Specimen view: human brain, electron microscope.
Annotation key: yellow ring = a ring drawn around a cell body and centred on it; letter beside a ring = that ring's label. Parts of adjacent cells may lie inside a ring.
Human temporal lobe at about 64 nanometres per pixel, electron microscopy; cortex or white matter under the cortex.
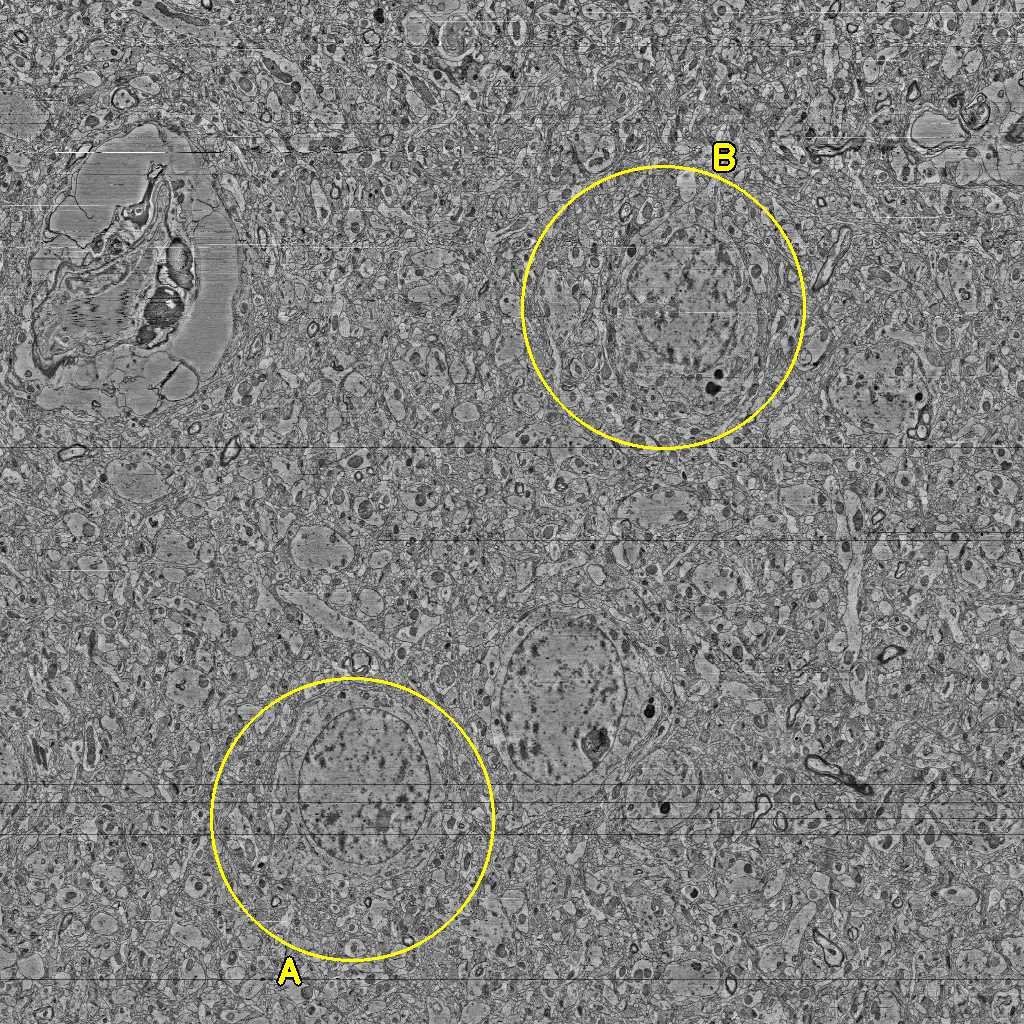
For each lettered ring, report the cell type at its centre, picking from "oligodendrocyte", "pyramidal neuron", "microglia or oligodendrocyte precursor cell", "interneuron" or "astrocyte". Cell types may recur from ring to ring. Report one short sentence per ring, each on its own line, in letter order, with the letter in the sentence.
The cell at the centre of ring A is a pyramidal neuron.
The cell at the centre of ring B is an interneuron.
